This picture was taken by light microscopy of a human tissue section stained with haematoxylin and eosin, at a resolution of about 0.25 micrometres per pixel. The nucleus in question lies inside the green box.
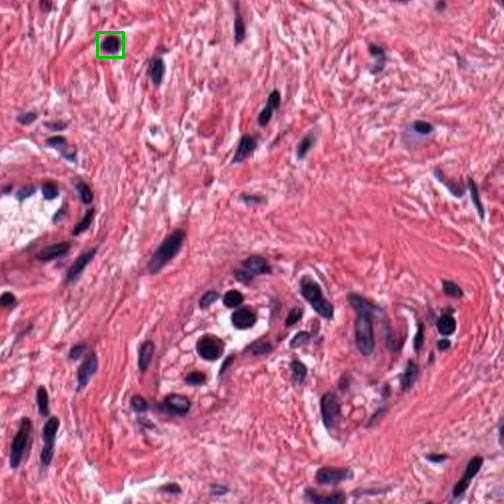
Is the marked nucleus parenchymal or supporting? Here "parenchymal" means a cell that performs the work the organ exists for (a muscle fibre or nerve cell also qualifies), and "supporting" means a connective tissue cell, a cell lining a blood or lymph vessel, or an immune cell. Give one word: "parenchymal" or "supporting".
supporting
